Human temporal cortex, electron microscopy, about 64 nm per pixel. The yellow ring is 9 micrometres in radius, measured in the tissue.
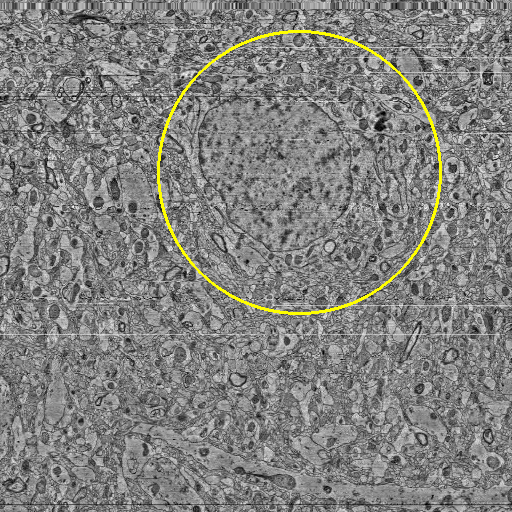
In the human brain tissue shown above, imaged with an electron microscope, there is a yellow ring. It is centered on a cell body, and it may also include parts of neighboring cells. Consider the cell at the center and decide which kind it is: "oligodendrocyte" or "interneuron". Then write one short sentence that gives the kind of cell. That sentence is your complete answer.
This centered cell body is that of an interneuron.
